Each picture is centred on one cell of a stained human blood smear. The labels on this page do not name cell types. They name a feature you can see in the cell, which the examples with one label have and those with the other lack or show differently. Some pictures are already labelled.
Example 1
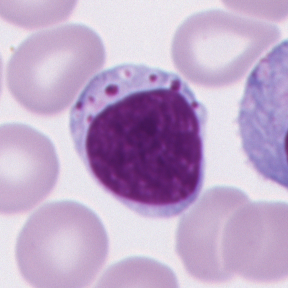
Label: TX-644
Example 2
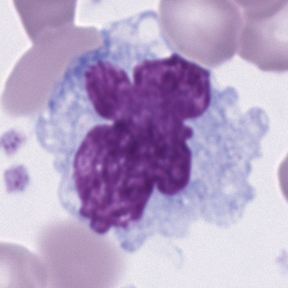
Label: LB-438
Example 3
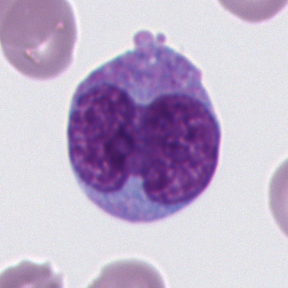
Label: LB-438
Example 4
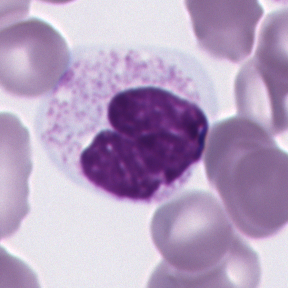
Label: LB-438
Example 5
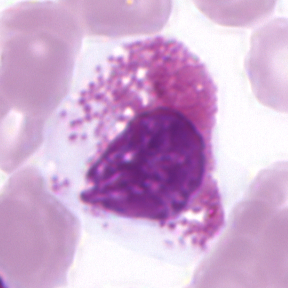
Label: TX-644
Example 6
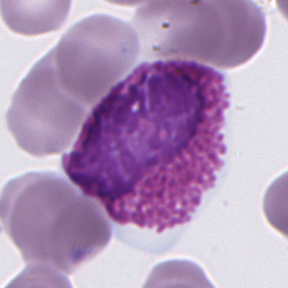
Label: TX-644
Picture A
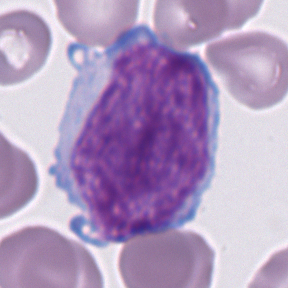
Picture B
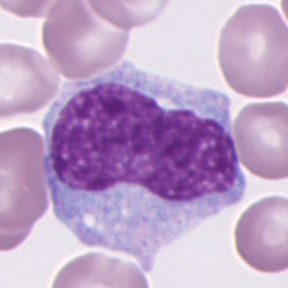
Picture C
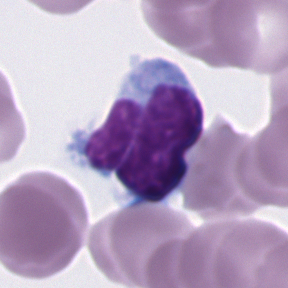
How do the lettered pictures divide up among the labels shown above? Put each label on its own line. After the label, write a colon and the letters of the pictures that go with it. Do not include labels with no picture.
TX-644: A, B
LB-438: C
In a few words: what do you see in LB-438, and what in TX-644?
LB-438, lobed nucleus; TX-644, single compact nucleus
